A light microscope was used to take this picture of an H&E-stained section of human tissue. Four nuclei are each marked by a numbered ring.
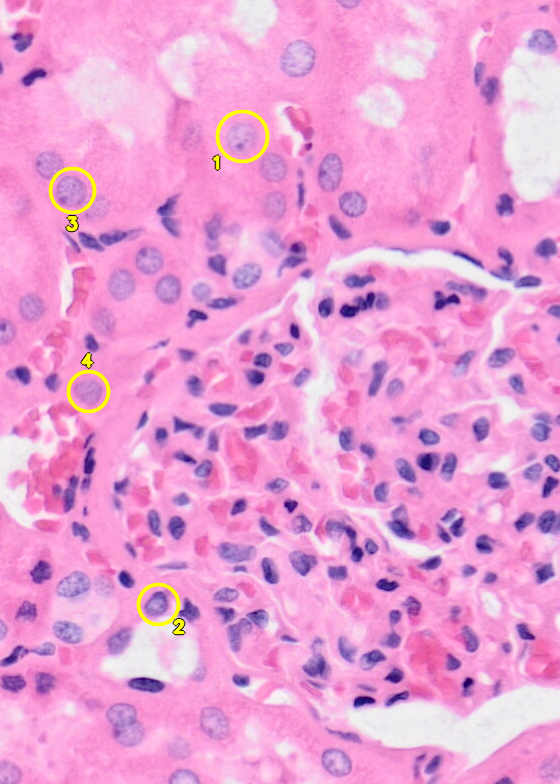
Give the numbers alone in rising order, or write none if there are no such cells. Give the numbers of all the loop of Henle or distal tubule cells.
2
